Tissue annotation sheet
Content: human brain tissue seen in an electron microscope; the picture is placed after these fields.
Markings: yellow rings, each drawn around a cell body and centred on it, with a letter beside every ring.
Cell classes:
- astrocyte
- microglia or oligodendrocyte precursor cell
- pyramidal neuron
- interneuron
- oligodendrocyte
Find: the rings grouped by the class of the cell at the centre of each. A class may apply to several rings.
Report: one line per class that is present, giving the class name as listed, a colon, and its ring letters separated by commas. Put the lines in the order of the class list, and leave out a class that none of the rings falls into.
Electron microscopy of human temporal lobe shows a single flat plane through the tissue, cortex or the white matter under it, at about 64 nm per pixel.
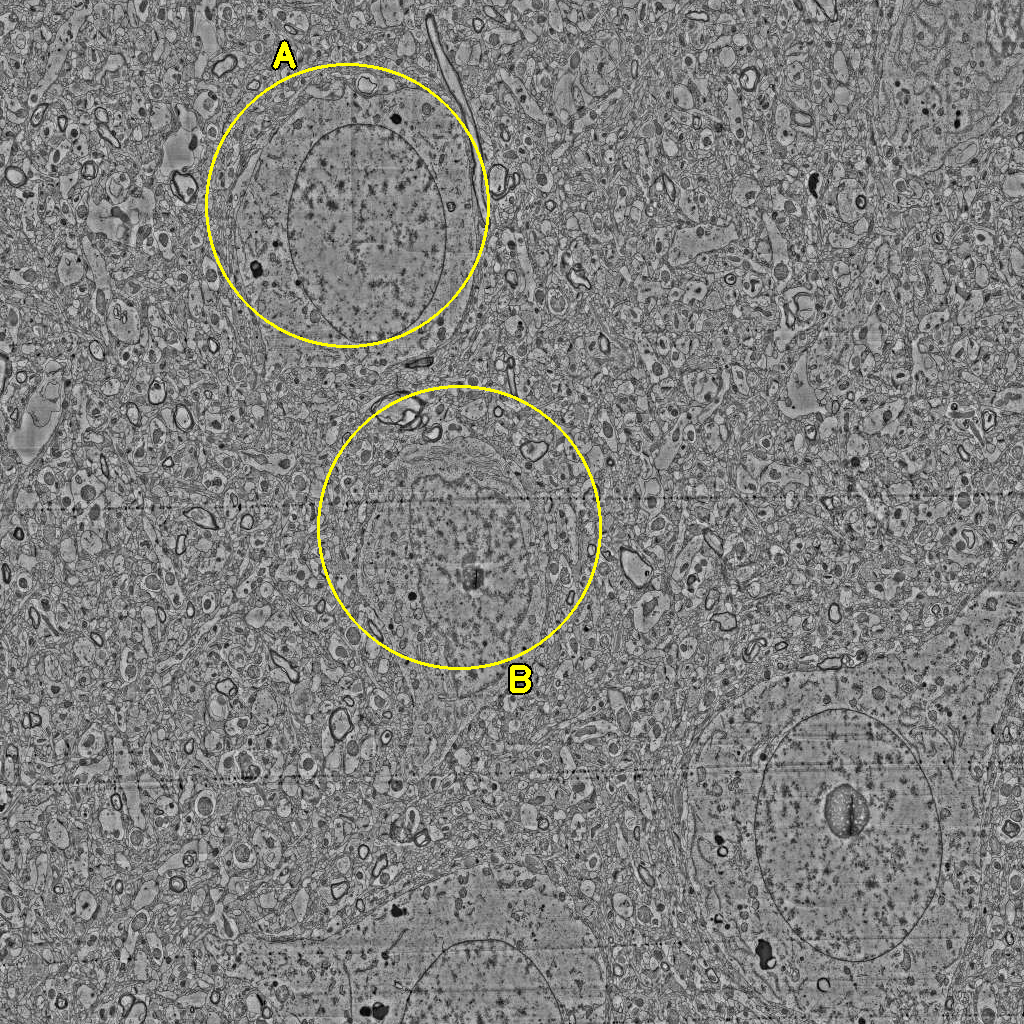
pyramidal neuron: A
interneuron: B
